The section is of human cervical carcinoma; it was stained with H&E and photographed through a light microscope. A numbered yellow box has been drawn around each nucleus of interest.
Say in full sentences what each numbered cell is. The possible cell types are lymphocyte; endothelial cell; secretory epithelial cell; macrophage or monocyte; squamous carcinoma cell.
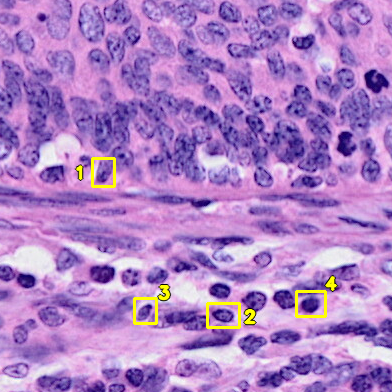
Cell 1 is a squamous carcinoma cell, cell 2 is a lymphocyte, cell 3 is a lymphocyte and cell 4 is a lymphocyte.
